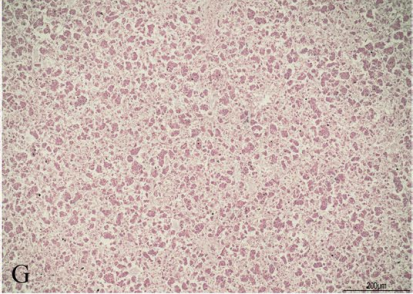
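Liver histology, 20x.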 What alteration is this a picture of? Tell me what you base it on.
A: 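Pink polygonal cell profiles lie loosely separated by pale spaces. No stained nuclei can be seen in the cells.
Conclusion: complete loss of nuclear basophilia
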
